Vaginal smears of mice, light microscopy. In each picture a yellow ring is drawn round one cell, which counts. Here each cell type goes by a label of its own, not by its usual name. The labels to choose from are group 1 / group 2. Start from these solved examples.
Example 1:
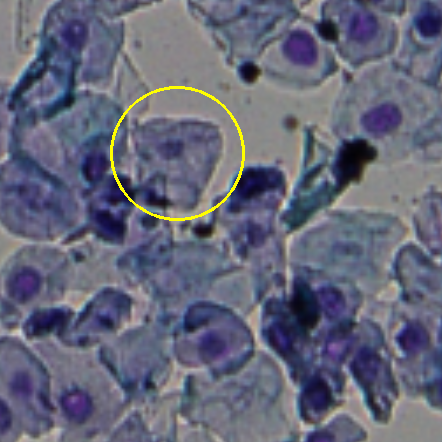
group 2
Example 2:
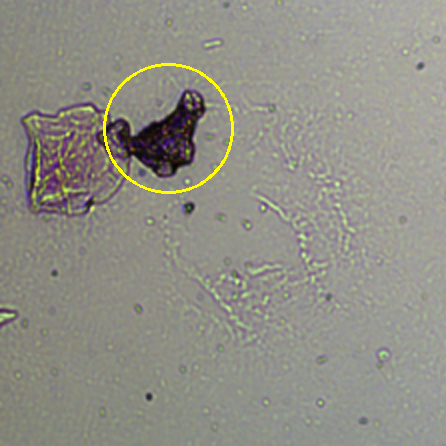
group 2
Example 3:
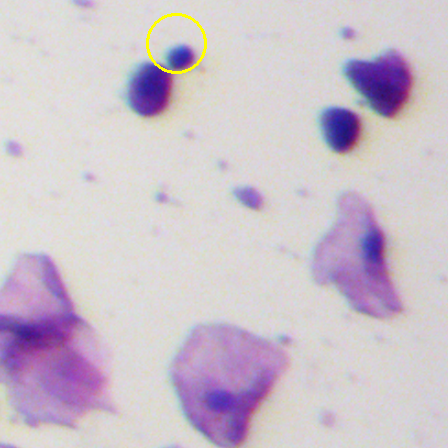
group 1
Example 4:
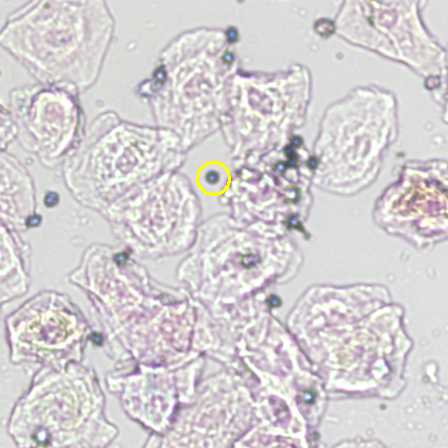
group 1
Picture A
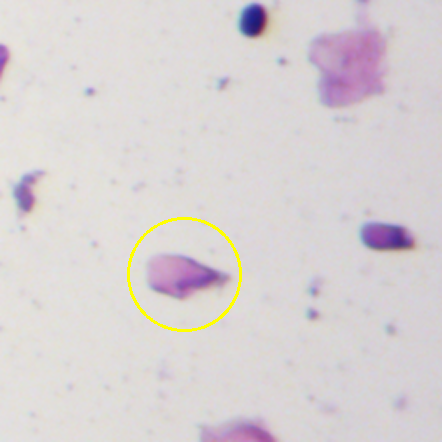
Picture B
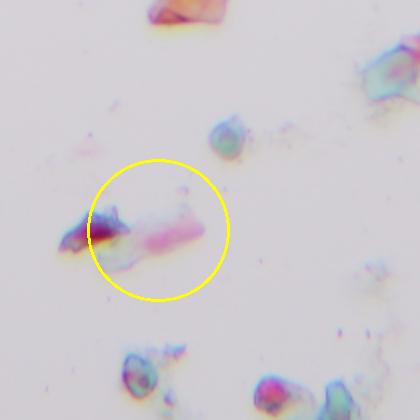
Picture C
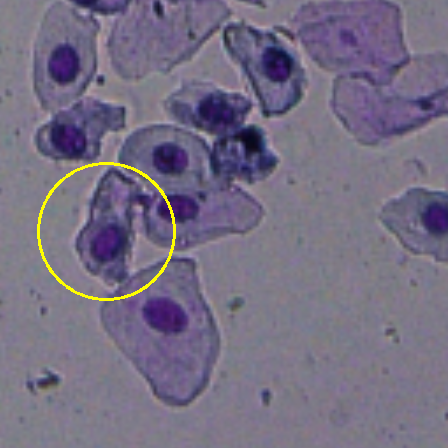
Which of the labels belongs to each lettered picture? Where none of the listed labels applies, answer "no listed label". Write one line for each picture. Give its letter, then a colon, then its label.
A: group 2
B: group 2
C: no listed label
